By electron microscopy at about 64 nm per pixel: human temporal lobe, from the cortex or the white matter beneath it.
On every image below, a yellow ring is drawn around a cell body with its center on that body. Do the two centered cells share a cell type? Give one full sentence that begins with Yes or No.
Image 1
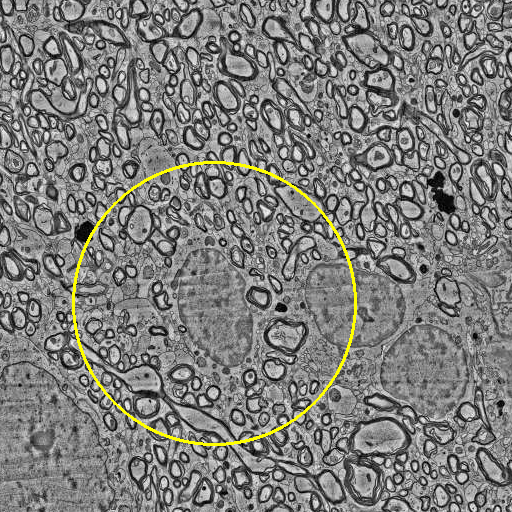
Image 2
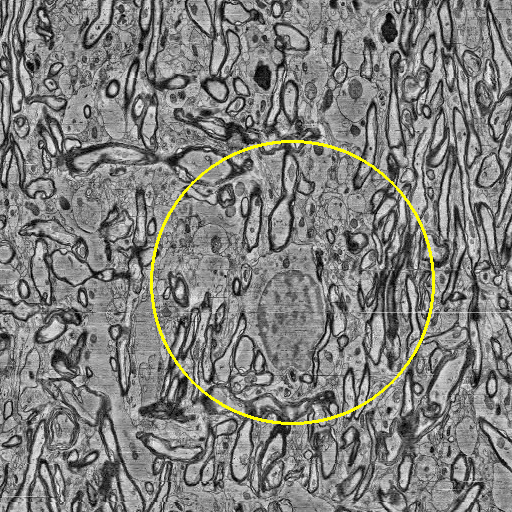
Yes, the centered cells in the two images are of a single cell type.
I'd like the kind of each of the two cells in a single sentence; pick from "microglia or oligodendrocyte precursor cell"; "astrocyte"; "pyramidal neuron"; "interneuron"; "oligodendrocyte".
In both pictures the ring is centred on an oligodendrocyte.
